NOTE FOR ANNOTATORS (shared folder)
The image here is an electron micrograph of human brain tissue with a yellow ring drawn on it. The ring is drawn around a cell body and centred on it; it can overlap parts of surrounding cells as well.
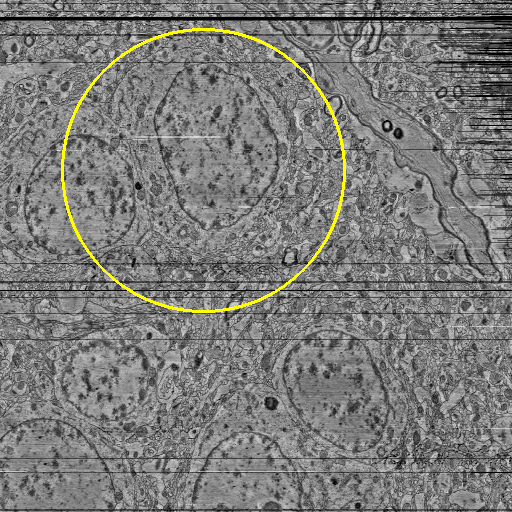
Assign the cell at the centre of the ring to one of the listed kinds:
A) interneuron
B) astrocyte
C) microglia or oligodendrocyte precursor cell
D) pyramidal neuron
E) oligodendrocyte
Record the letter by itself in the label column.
D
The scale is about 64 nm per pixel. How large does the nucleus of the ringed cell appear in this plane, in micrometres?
In this plane, roughly 11 by 8 micrometres.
